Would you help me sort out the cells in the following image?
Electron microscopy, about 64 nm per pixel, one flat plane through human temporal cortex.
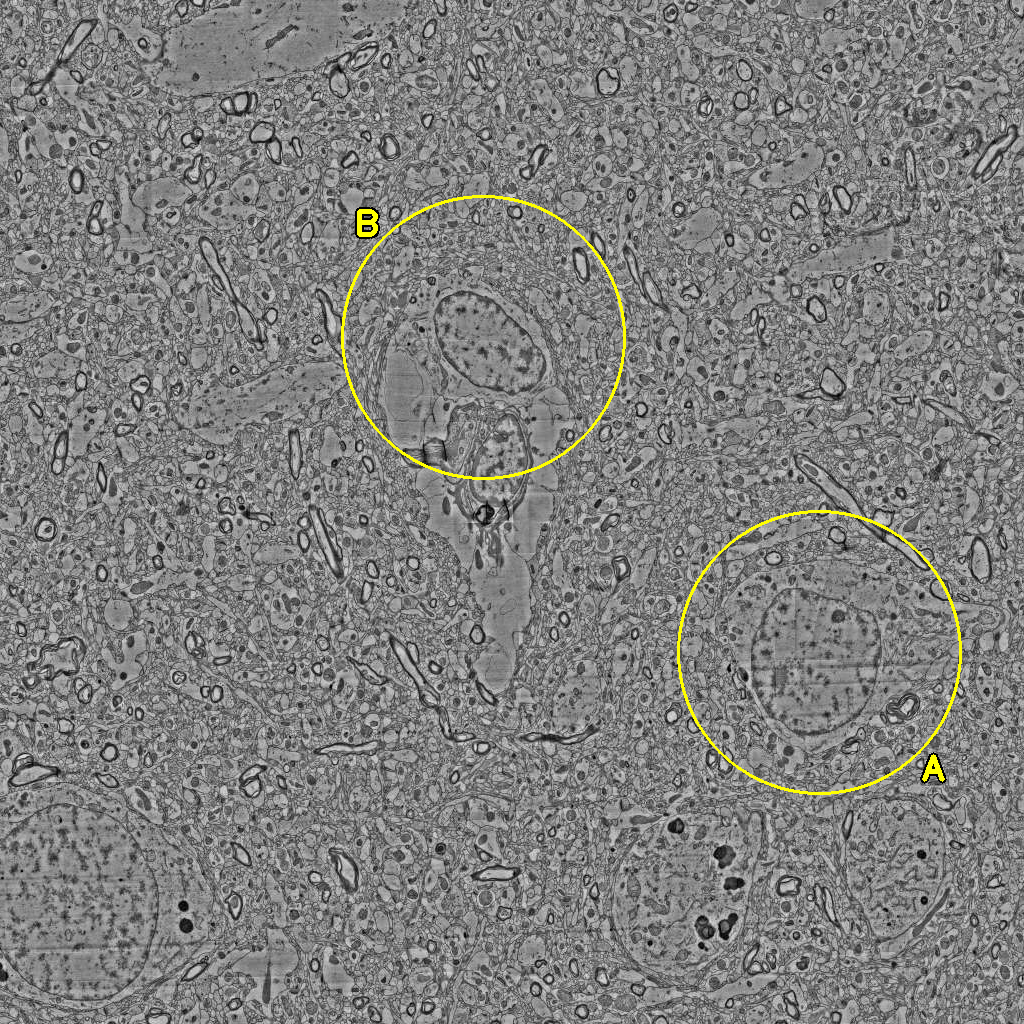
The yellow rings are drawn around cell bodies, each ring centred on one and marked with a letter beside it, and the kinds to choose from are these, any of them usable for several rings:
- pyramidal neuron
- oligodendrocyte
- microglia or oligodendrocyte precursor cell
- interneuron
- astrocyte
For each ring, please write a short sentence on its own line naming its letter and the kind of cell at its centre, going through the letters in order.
Ring A is centred on the cell body of a pyramidal neuron.
Ring B is centred on the cell body of a microglial cell or oligodendrocyte precursor cell.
